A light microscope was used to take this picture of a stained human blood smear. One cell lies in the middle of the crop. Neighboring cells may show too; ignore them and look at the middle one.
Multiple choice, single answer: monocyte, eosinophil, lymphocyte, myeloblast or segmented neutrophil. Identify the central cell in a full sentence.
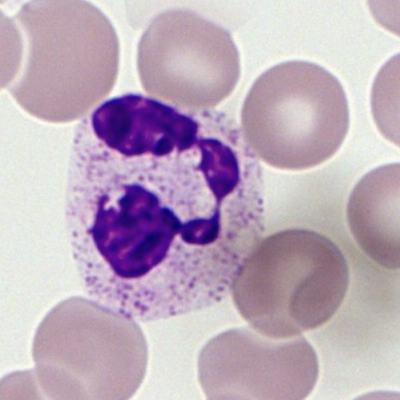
By classification, the middle cell of this crop is a segmented neutrophil.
